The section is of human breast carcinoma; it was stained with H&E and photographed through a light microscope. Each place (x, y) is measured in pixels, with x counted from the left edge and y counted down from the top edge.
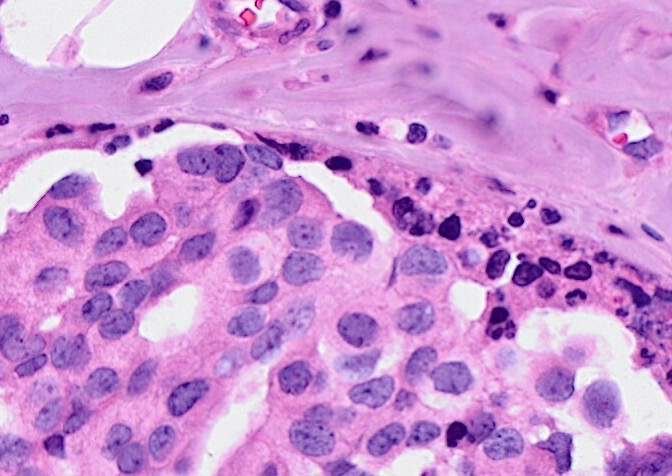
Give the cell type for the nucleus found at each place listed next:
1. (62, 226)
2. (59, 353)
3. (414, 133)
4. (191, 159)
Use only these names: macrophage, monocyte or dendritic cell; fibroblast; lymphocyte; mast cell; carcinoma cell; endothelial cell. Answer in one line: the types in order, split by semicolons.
carcinoma cell; carcinoma cell; lymphocyte; carcinoma cell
